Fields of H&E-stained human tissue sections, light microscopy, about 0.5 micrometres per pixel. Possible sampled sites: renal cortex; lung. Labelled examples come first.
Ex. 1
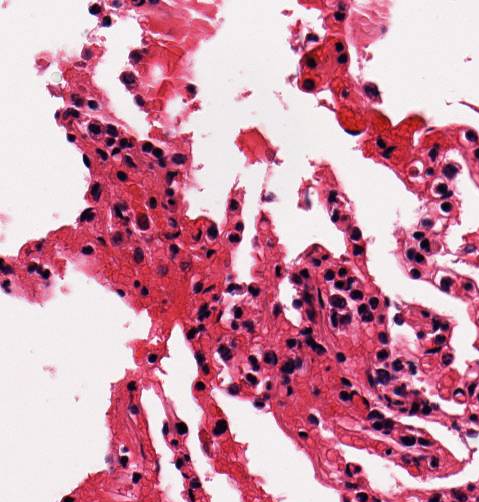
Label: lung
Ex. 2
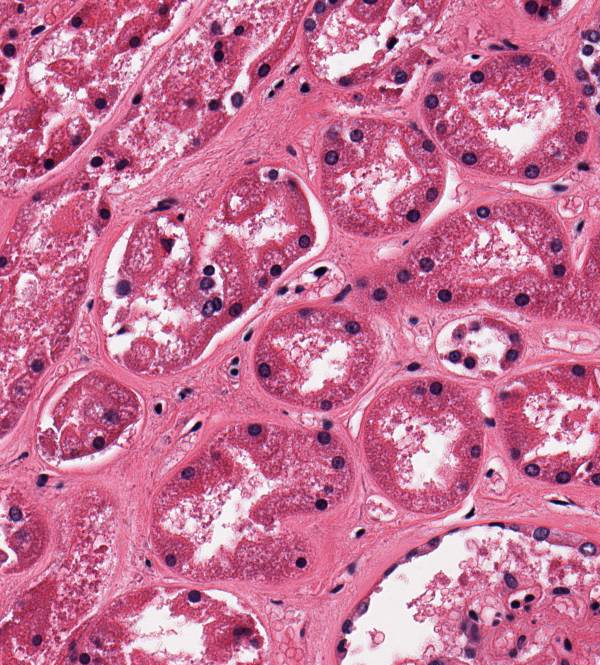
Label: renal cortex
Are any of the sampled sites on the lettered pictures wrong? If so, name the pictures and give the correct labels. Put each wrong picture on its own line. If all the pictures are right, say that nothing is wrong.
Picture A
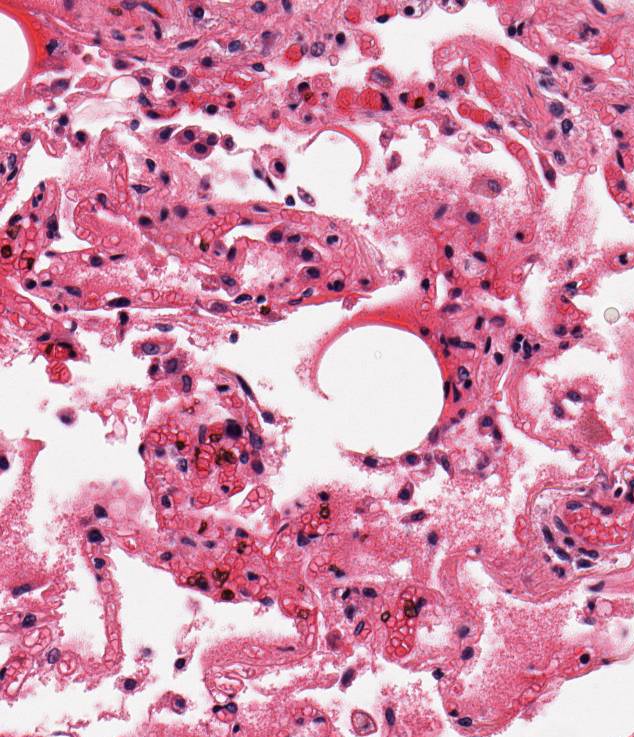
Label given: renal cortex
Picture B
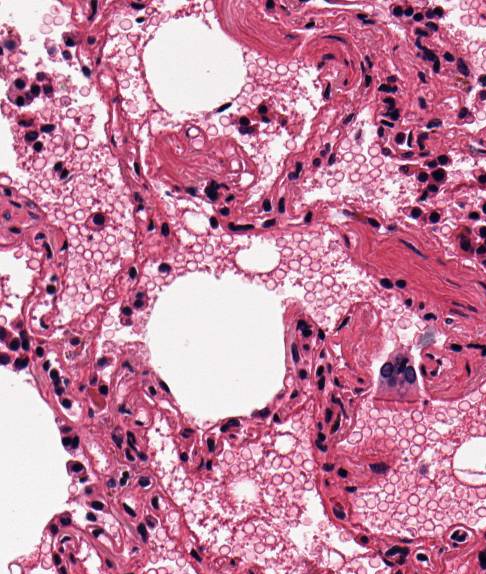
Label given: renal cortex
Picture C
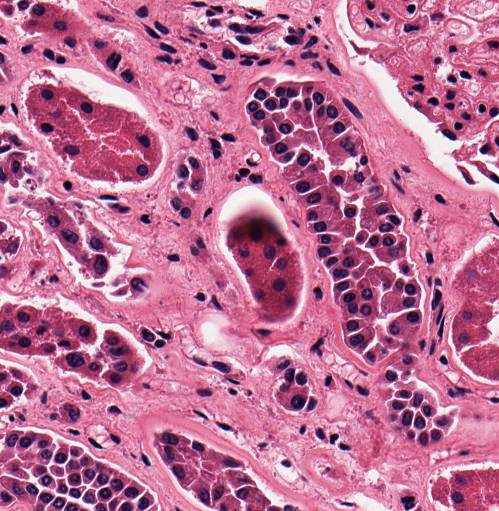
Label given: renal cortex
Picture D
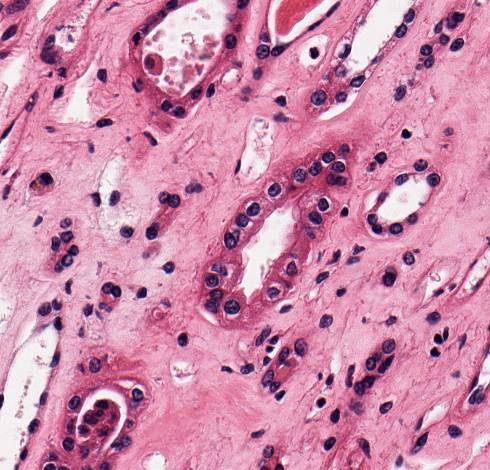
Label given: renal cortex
A should be lung, not renal cortex
B should be lung, not renal cortex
